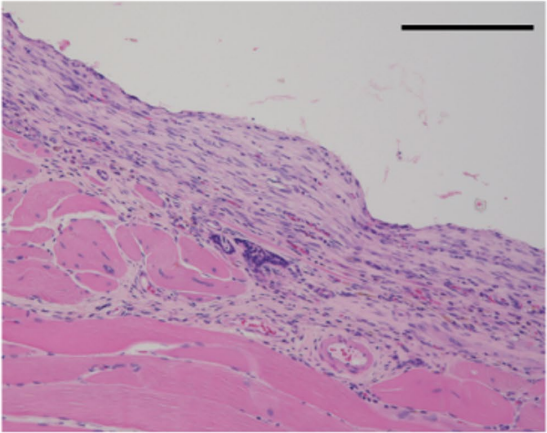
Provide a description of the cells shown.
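Thick membrane of densely packed fibroblasts, with spindle cells and elongated nuclei aligned parallel to the free surface. The fibrous band overlies pink skeletal muscle fibres cut in cross and long section, with small vessels between them.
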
